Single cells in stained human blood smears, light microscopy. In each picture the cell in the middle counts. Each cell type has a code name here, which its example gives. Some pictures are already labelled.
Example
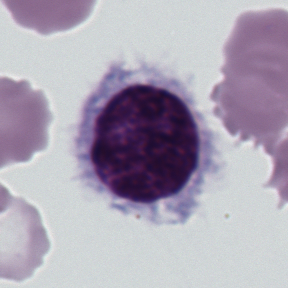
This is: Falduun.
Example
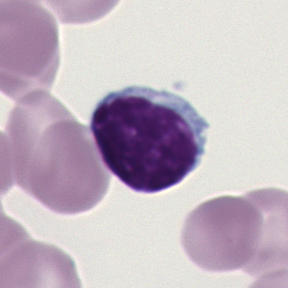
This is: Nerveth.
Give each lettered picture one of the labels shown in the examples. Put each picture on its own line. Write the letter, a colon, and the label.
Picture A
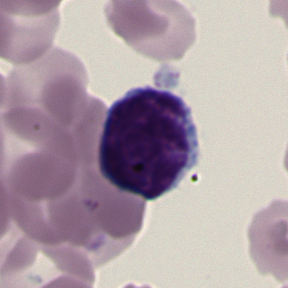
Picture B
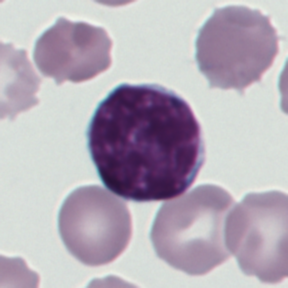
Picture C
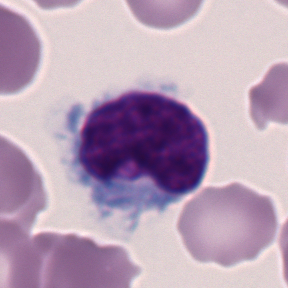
A: Nerveth.
B: Nerveth.
C: Falduun.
